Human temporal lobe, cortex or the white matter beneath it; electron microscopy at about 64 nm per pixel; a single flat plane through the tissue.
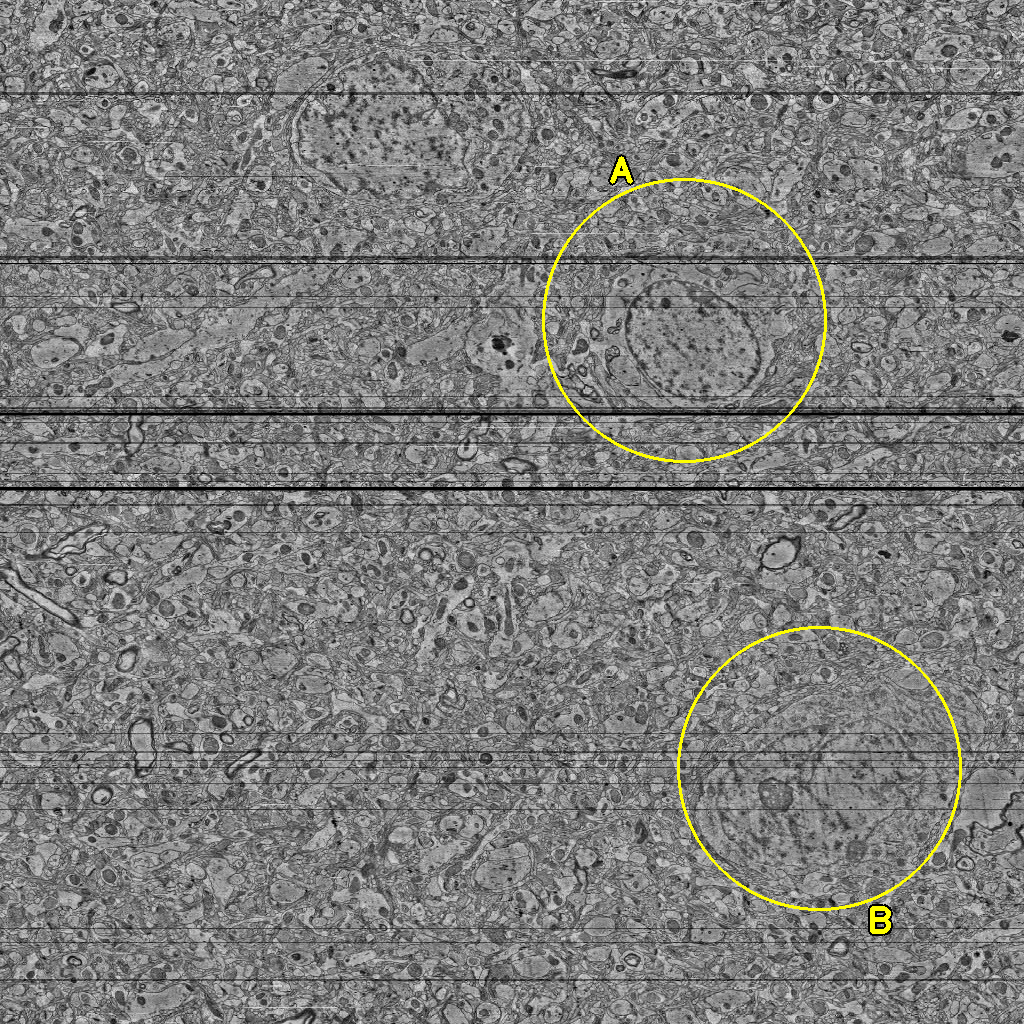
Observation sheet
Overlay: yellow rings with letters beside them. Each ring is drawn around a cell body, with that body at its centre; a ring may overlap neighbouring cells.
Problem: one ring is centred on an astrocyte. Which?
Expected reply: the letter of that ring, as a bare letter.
A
